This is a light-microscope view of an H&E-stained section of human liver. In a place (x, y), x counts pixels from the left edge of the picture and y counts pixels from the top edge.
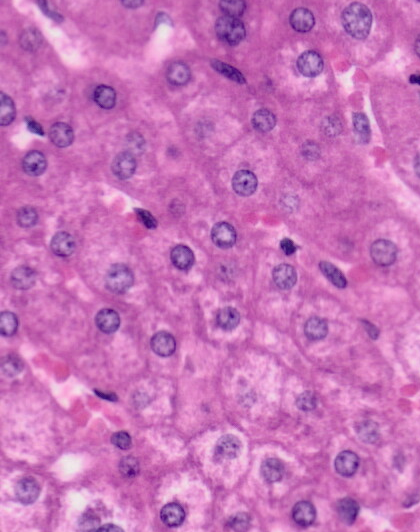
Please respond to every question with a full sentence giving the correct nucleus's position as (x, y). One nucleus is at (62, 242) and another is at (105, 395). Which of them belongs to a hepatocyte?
Belonging to a hepatocyte is the nucleus at (62, 242).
